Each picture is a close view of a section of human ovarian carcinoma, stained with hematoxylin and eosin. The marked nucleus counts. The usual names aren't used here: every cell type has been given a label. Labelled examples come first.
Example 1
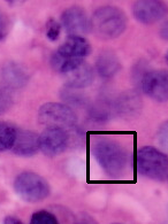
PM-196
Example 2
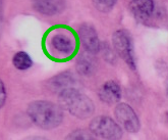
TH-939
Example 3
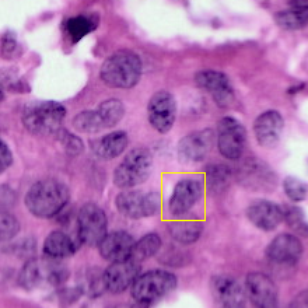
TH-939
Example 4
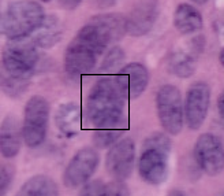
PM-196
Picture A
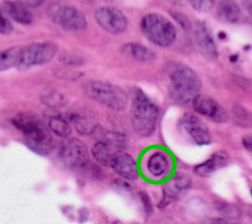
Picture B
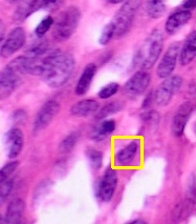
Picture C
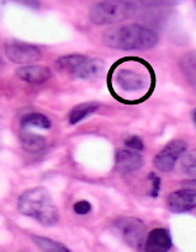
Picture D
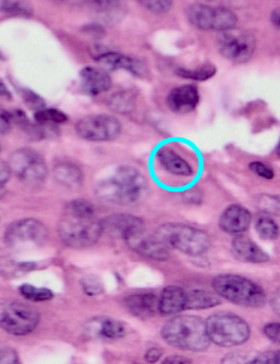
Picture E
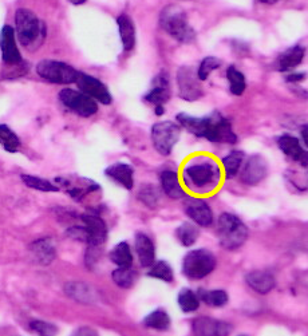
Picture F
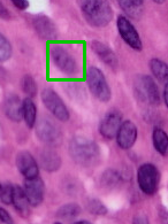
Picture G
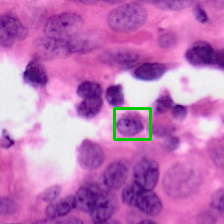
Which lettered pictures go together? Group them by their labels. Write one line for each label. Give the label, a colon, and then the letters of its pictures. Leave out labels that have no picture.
PM-196: E, F
TH-939: A, B, C, D, G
